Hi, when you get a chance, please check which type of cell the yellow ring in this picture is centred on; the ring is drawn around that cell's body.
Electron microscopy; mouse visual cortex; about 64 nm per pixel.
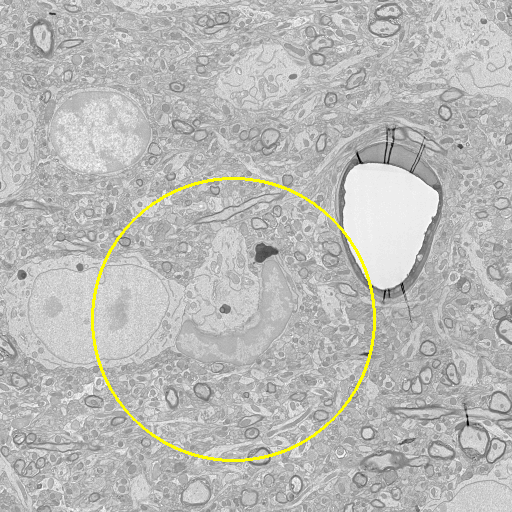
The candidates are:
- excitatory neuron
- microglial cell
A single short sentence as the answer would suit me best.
The ring is drawn around the body of a microglial cell.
